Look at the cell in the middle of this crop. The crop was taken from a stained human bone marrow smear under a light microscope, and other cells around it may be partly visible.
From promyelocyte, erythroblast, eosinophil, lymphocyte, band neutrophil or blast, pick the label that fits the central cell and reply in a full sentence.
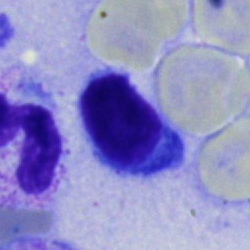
Seen at the centre of the crop is a lymphocyte.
